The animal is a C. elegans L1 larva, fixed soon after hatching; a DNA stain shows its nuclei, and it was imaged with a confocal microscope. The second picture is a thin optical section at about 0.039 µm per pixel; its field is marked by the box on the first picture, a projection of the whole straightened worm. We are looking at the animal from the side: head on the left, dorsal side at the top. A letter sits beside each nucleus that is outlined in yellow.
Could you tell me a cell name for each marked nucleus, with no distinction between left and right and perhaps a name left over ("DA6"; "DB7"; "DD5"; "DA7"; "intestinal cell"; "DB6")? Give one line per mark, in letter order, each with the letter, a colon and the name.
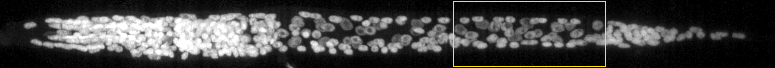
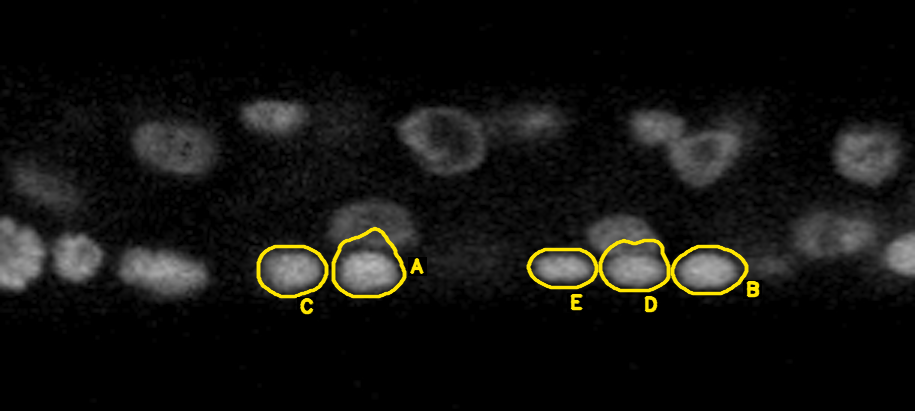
A: DA6
B: DA7
C: DB6
D: DB7
E: DD5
